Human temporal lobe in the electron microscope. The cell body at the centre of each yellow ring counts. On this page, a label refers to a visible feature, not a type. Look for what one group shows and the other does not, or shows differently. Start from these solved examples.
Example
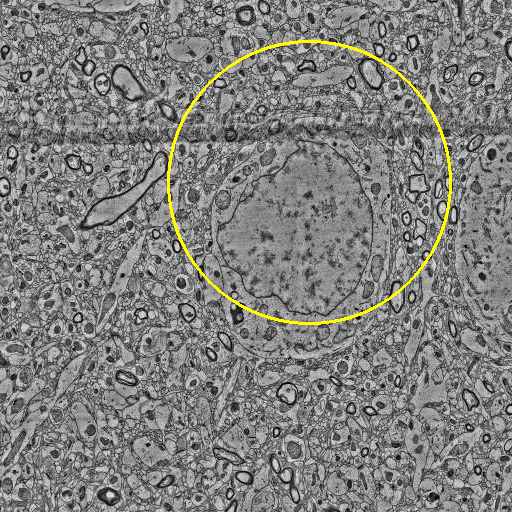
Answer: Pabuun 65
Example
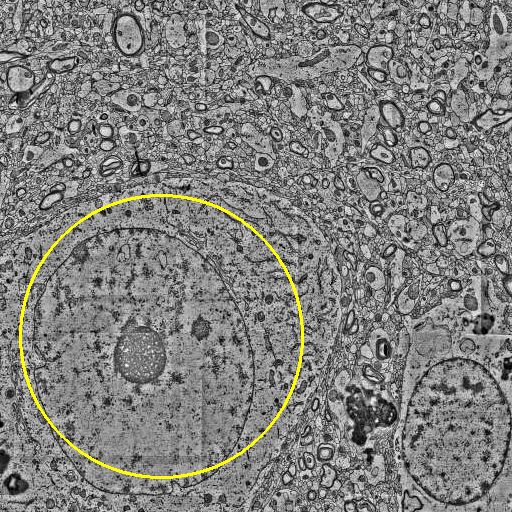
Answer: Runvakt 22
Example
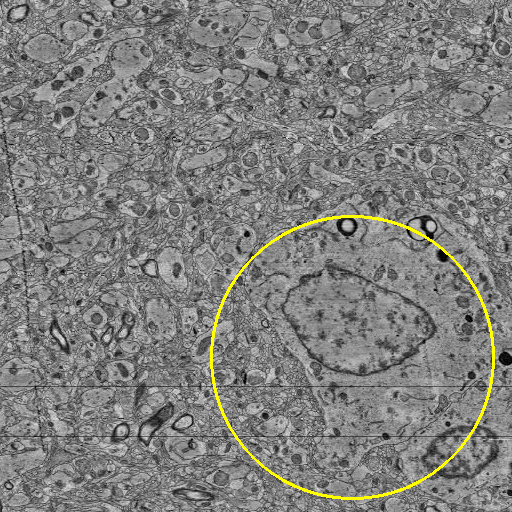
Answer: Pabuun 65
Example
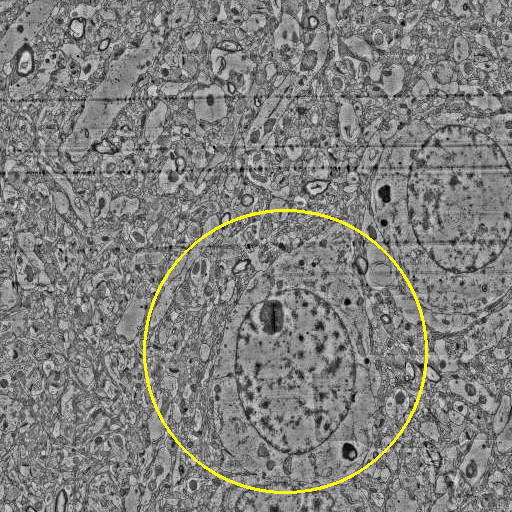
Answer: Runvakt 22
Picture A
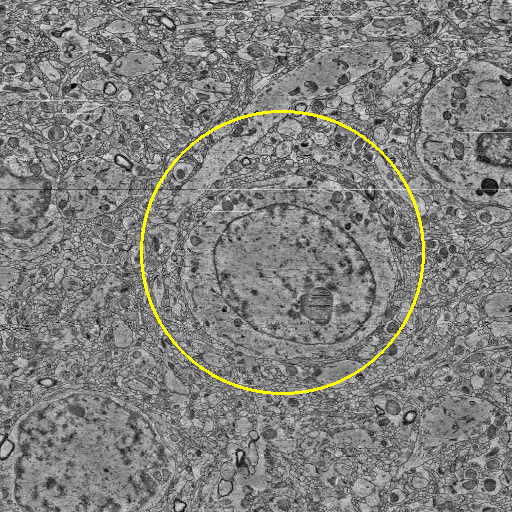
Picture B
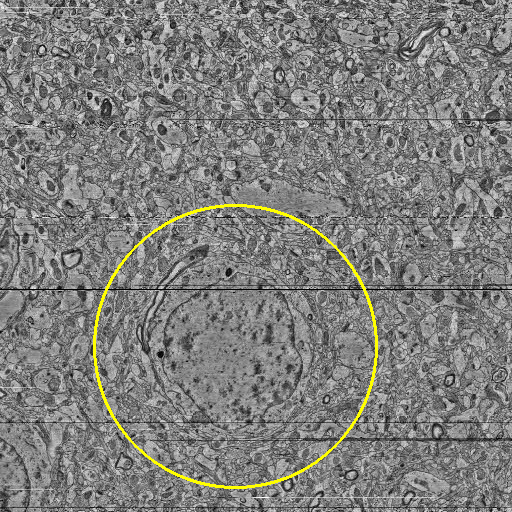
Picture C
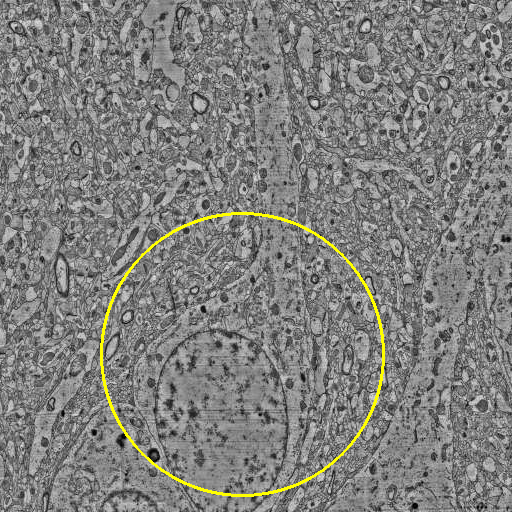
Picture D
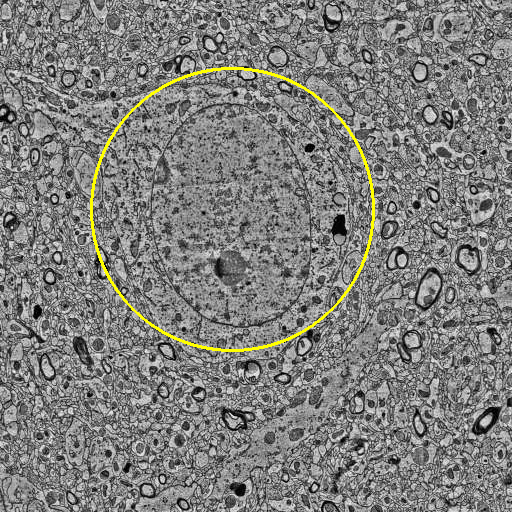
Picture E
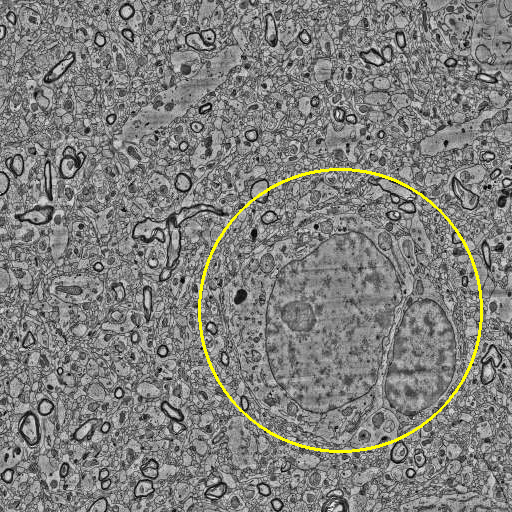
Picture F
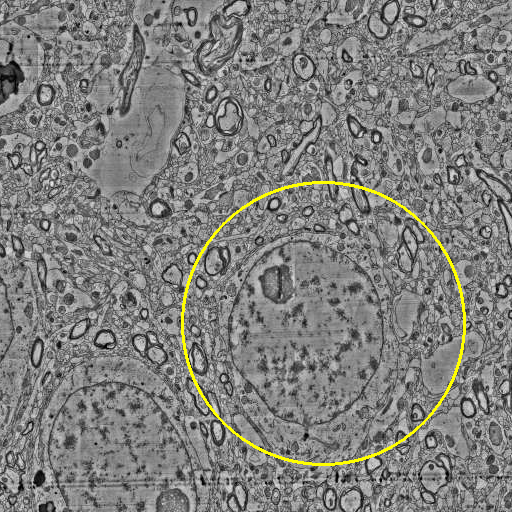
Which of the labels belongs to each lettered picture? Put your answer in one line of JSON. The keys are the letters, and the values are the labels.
{"A": "Runvakt 22", "B": "Pabuun 65", "C": "Pabuun 65", "D": "Runvakt 22", "E": "Runvakt 22", "F": "Runvakt 22"}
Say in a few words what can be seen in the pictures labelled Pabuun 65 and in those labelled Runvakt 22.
Pabuun 65, no nucleolus seen; Runvakt 22, nucleolus seen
